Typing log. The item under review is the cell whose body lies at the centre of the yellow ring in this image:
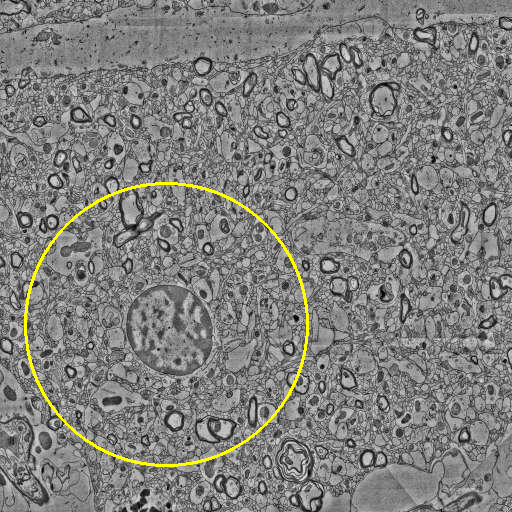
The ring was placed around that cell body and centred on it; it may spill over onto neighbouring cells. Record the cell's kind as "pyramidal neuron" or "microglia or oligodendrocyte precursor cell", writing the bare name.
microglia or oligodendrocyte precursor cell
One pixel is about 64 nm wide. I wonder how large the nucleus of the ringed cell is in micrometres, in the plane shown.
The nucleus works out at approximately 6 by 5 micrometres in this plane.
